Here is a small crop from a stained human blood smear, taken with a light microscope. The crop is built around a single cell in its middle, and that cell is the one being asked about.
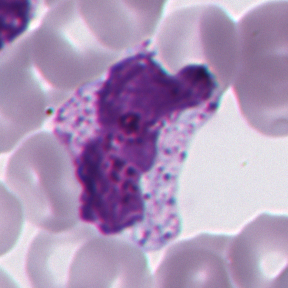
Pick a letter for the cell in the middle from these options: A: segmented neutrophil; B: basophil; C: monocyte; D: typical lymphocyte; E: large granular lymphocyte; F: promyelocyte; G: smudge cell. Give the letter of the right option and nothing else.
B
